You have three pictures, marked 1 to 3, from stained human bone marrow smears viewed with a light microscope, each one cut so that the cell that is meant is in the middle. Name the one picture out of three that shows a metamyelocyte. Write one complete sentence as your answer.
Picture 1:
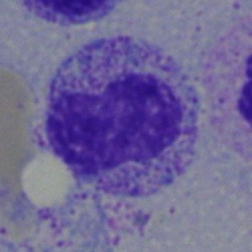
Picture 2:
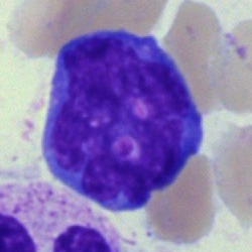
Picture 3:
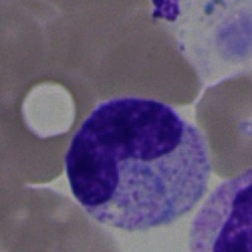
Picture 1 is the one that shows the metamyelocyte.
